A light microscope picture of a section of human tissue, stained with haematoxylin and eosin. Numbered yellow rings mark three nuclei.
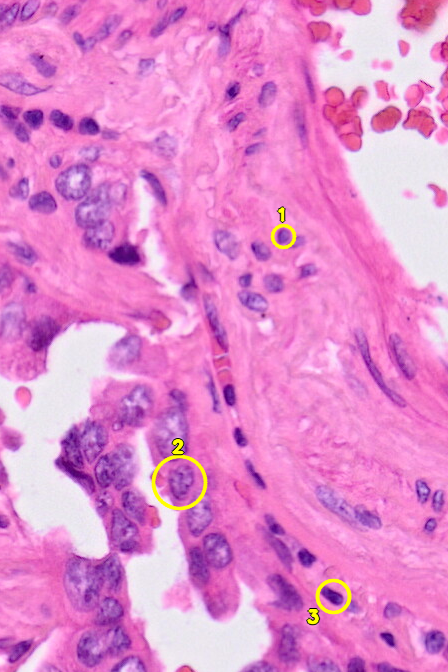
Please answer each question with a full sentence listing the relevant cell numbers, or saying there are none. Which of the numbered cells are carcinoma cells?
Only one choice fits: cell 2 is a carcinoma cell, and no other.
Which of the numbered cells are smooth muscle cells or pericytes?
Only the cell with the number 1 is a smooth muscle cell or pericyte.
